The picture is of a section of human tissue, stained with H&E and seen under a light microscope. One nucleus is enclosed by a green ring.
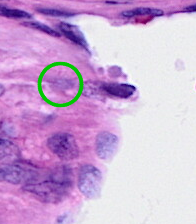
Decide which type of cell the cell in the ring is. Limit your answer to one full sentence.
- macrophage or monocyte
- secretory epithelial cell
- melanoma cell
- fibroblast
Speaking plainly, the cell in the ring is nothing other than a fibroblast.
